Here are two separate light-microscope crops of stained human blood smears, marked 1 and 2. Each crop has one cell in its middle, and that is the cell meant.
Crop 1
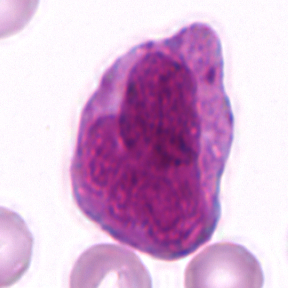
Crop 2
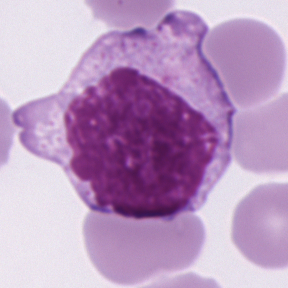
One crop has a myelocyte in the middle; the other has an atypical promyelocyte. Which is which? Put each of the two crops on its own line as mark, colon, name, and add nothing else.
1: atypical promyelocyte
2: myelocyte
